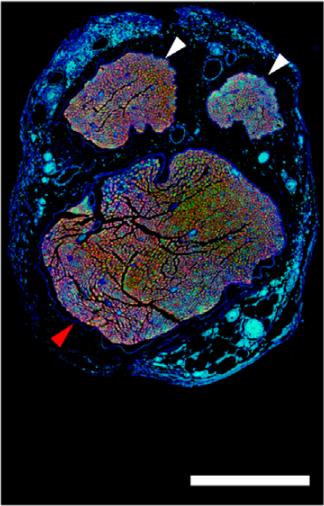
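This is a cross section of nerve with only a few fascicles: one very large and two smaller ones above it. The fascicles are packed with fine red and green texture from nerve fibres, crossed by dark branching lines, and each is edged by a thin blue rim. Around them lies blue connective tissue with small round spaces and vessels, forming the outer wrapping of the nerve.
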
